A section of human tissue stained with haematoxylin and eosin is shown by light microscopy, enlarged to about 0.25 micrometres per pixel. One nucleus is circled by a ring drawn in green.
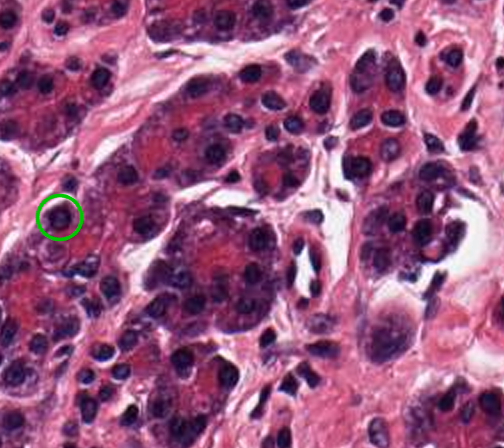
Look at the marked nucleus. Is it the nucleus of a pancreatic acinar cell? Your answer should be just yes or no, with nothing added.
yes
